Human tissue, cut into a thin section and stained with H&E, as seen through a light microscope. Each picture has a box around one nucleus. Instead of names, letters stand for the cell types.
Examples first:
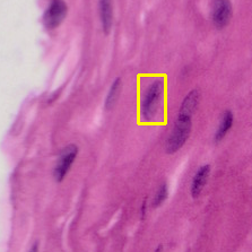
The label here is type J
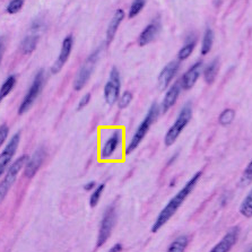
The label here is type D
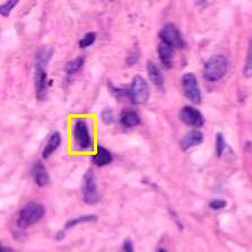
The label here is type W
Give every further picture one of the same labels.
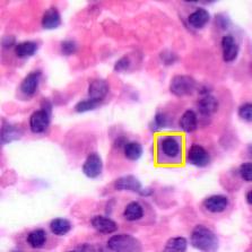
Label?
type W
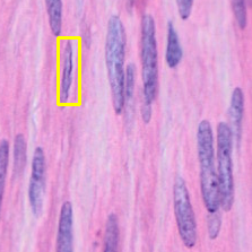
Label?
type D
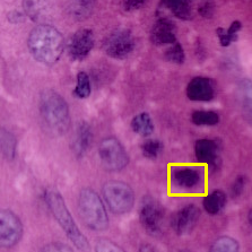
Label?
type J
